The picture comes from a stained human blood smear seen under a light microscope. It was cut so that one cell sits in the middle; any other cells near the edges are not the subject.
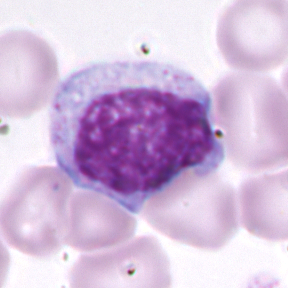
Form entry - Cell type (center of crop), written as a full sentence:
The middle of this crop is occupied by a myelocyte.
